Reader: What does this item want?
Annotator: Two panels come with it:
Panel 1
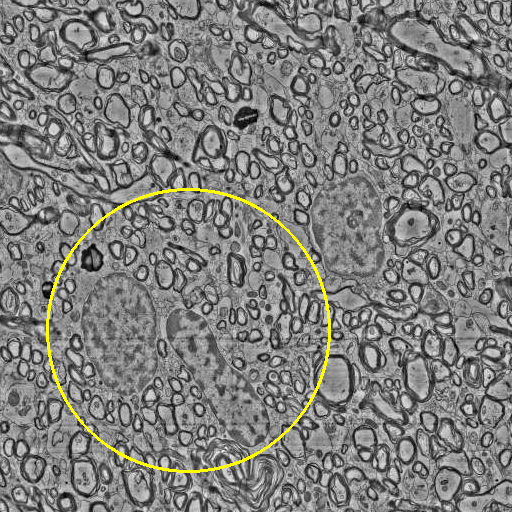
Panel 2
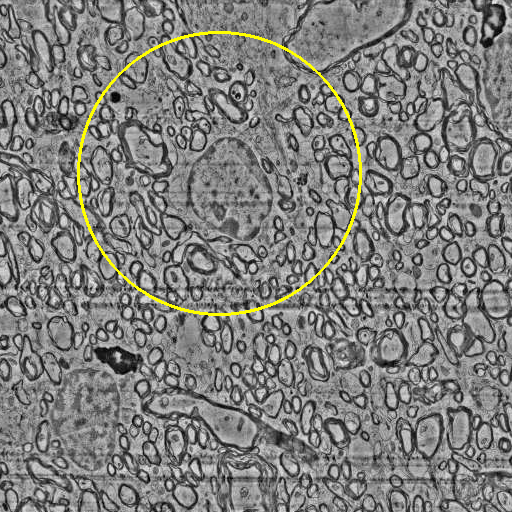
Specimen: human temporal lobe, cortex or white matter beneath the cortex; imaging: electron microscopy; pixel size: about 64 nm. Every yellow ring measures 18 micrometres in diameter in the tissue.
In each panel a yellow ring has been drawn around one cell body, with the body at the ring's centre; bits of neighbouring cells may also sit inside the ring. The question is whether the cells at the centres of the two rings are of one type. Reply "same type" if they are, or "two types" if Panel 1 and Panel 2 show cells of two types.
same type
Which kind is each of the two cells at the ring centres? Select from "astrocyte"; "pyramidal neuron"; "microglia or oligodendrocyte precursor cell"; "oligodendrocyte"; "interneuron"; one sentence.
Each one of the two ringed cells is a microglial cell or oligodendrocyte precursor cell.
